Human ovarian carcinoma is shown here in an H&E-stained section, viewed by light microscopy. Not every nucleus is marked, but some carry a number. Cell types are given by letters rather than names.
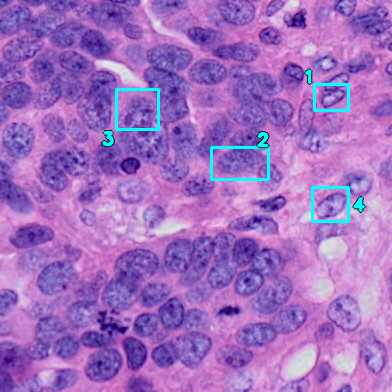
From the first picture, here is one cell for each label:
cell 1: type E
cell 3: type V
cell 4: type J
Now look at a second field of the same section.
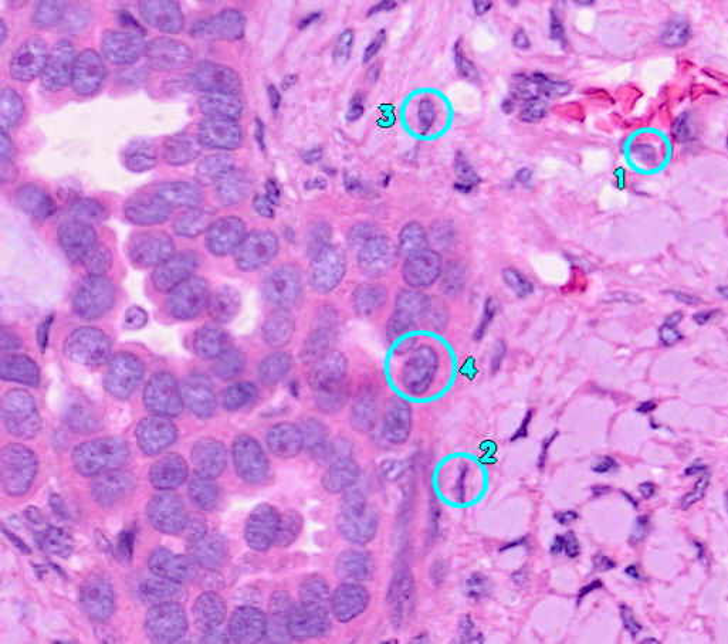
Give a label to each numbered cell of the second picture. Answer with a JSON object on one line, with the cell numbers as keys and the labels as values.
{"1": "type E", "2": "type J", "3": "type J", "4": "type V"}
